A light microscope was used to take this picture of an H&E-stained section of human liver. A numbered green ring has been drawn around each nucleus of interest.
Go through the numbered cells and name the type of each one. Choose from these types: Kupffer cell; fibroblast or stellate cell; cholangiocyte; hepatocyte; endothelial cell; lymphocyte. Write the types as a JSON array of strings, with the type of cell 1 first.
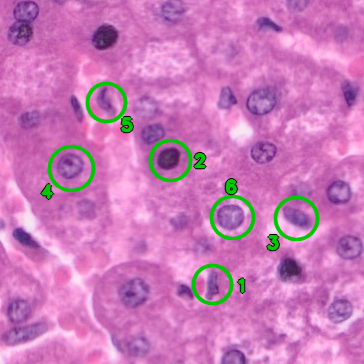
["endothelial cell", "hepatocyte", "Kupffer cell", "hepatocyte", "Kupffer cell", "hepatocyte"]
